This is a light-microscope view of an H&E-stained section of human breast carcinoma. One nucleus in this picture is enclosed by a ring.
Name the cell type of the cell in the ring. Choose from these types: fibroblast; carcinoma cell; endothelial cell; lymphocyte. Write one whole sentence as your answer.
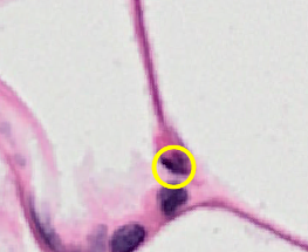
The classification of the cell in the ring is as an endothelial cell.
